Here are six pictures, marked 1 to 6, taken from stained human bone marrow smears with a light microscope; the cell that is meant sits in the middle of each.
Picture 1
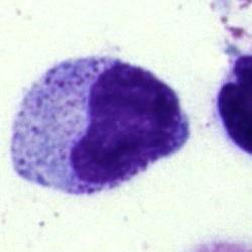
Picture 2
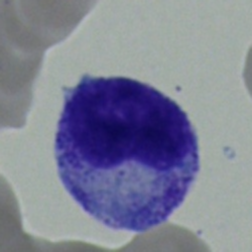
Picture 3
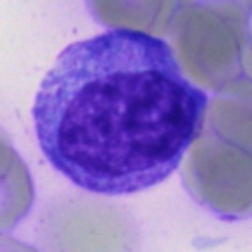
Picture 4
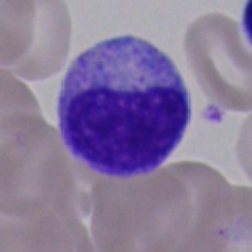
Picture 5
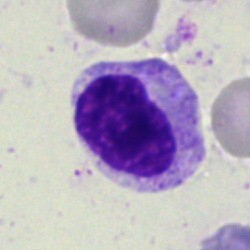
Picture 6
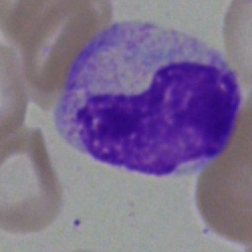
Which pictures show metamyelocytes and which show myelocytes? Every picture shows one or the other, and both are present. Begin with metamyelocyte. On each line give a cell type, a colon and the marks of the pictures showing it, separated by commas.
metamyelocyte: 2, 6
myelocyte: 1, 3, 4, 5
